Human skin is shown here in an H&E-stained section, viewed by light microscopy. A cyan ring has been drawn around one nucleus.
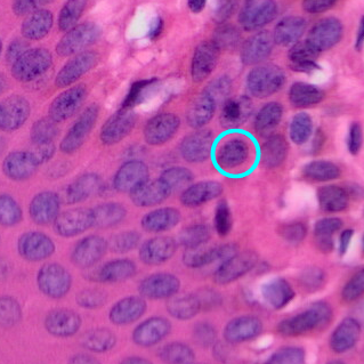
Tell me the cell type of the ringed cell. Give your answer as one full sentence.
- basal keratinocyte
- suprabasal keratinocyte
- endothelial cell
The ringed cell is a basal keratinocyte.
